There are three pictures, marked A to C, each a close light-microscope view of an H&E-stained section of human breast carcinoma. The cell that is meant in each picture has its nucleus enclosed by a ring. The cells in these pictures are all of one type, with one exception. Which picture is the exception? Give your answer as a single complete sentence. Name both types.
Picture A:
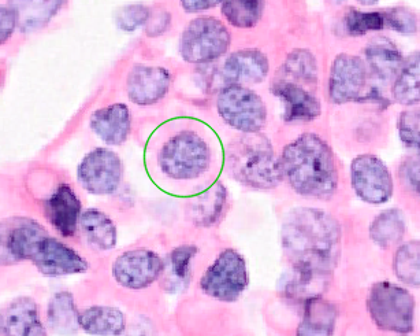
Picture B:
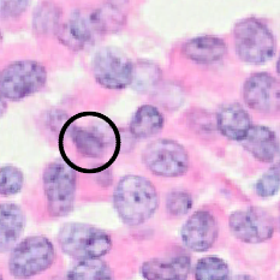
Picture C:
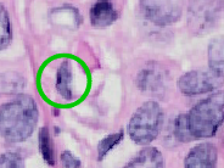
Picture C differs, because its cell is an endothelial cell and the rest are carcinoma cells.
